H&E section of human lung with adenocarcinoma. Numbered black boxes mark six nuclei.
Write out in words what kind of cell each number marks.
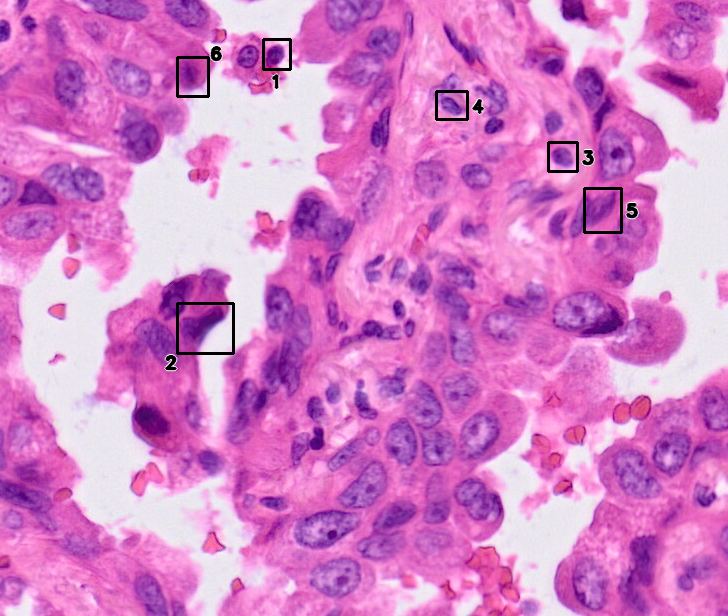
Cell 1 is a lymphocyte, cell 2 is a carcinoma cell, cell 3 is a lymphocyte, cell 4 is a lymphocyte, cell 5 is a carcinoma cell and cell 6 is a carcinoma cell.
